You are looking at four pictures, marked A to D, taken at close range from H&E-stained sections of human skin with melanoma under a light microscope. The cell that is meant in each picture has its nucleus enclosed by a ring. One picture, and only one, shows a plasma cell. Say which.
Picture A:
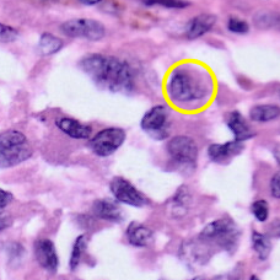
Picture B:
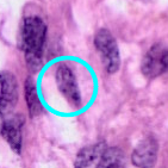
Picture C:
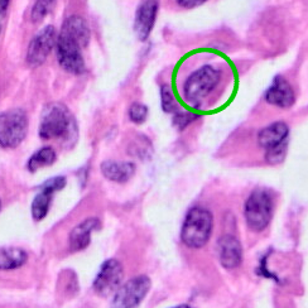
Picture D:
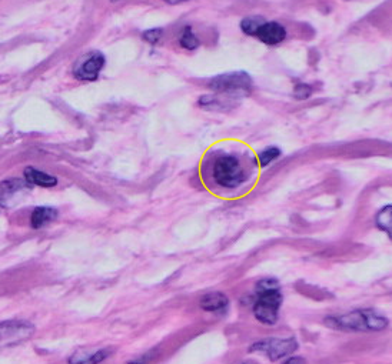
D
